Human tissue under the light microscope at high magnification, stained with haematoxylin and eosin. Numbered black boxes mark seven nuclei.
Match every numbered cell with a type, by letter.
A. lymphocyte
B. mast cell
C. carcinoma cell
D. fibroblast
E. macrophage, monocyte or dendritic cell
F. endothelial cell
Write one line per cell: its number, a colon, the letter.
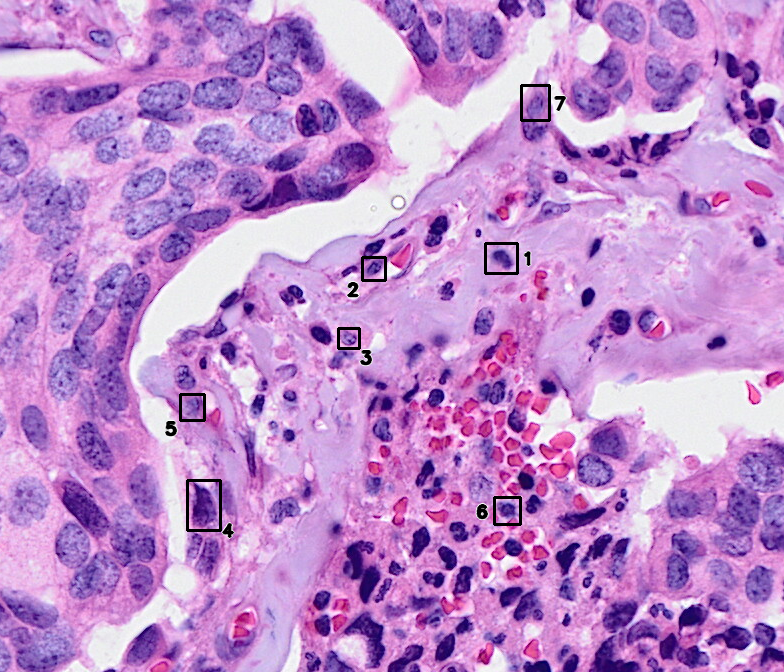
1: A
2: F
3: B
4: C
5: F
6: A
7: F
